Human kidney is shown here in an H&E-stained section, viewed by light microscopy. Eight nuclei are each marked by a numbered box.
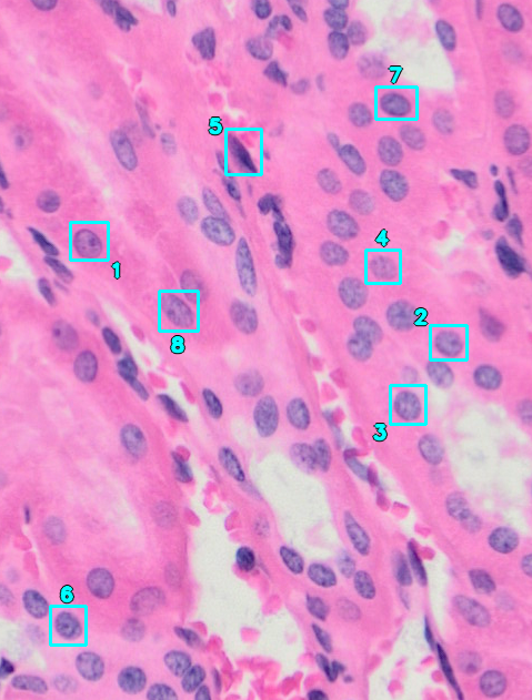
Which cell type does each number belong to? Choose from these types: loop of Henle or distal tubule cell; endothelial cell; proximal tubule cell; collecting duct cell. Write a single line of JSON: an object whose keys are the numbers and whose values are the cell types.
{"1": "proximal tubule cell", "2": "loop of Henle or distal tubule cell", "3": "loop of Henle or distal tubule cell", "4": "loop of Henle or distal tubule cell", "5": "endothelial cell", "6": "collecting duct cell", "7": "loop of Henle or distal tubule cell", "8": "proximal tubule cell"}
